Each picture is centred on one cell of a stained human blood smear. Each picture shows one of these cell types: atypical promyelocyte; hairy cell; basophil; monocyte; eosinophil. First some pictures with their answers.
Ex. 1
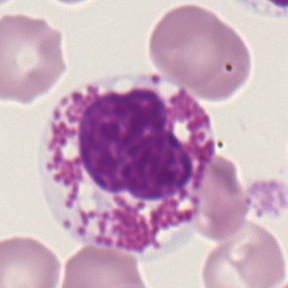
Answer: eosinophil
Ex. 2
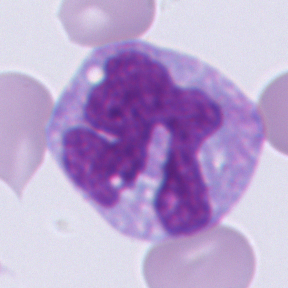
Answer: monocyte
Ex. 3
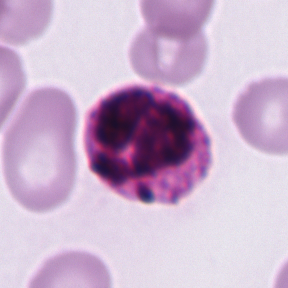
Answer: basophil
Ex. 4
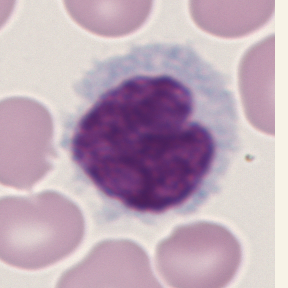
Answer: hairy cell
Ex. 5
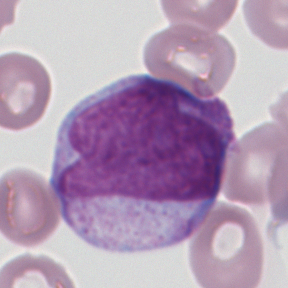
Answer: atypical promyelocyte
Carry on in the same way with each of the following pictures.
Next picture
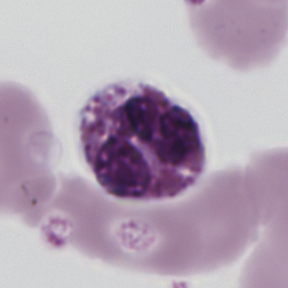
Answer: eosinophil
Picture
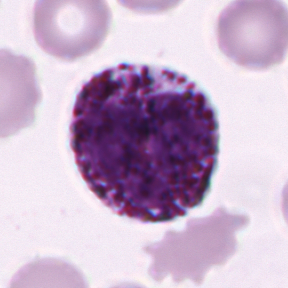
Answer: basophil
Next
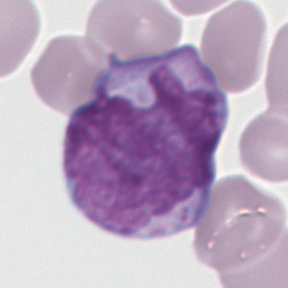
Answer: atypical promyelocyte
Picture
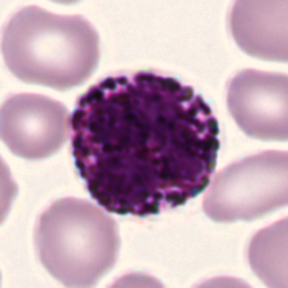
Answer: basophil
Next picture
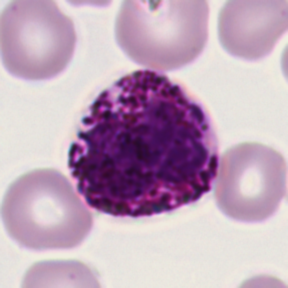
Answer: basophil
